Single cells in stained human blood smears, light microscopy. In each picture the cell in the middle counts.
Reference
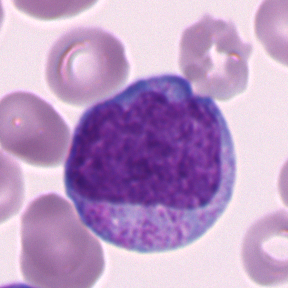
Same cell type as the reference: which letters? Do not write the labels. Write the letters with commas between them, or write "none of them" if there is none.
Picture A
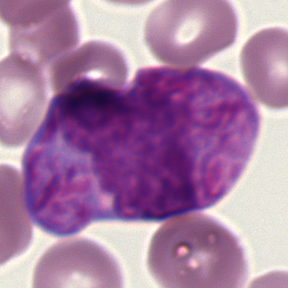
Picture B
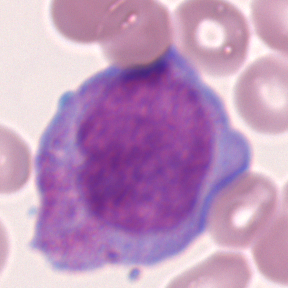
A, B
